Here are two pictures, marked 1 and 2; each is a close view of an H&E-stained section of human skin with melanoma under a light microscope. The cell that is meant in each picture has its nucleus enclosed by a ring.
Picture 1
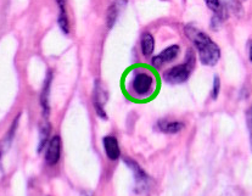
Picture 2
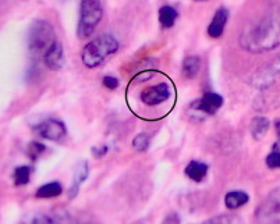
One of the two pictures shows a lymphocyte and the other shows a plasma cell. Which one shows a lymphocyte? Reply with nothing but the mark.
2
